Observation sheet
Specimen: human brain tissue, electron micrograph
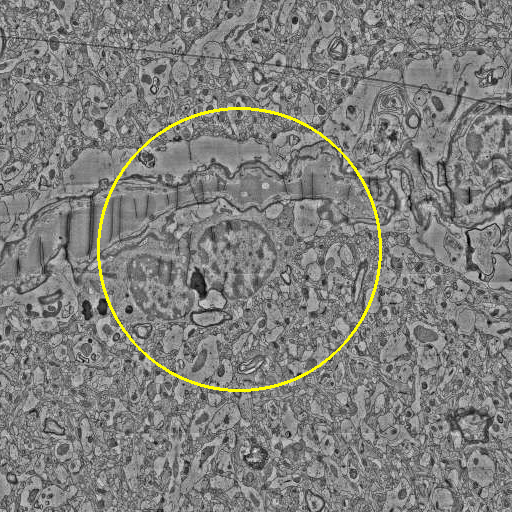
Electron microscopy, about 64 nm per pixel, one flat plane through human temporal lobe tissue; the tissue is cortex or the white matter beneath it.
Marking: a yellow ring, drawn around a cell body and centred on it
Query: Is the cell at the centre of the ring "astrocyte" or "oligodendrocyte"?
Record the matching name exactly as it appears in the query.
oligodendrocyte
